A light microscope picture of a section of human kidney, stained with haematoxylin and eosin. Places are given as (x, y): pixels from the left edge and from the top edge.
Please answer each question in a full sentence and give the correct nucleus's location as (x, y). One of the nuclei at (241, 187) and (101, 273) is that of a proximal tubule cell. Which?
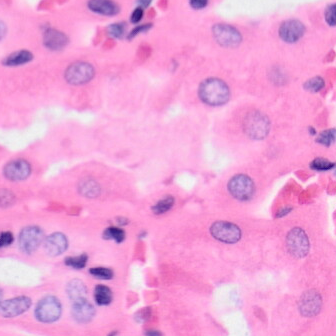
Of the two, the nucleus lying at (241, 187) is the one belonging to a proximal tubule cell.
